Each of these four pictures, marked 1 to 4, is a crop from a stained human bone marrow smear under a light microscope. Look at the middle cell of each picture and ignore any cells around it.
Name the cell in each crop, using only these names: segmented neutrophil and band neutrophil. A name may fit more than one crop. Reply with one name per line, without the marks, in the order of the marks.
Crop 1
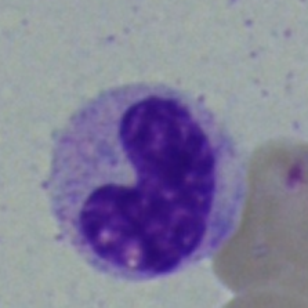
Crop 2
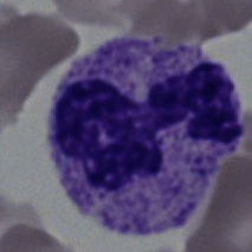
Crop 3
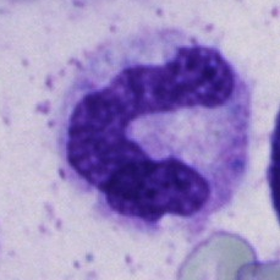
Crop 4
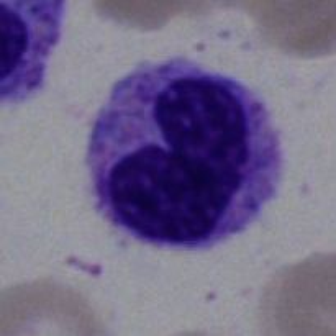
band neutrophil
segmented neutrophil
segmented neutrophil
band neutrophil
